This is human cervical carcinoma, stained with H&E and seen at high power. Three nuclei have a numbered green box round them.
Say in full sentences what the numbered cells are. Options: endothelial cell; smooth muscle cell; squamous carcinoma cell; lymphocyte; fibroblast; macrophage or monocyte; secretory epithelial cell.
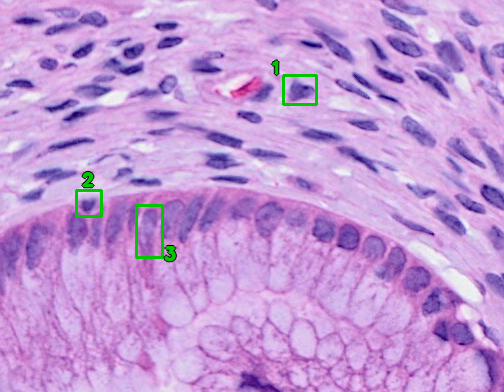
Cell 1 is a fibroblast, cell 2 is a secretory epithelial cell and cell 3 is a secretory epithelial cell.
